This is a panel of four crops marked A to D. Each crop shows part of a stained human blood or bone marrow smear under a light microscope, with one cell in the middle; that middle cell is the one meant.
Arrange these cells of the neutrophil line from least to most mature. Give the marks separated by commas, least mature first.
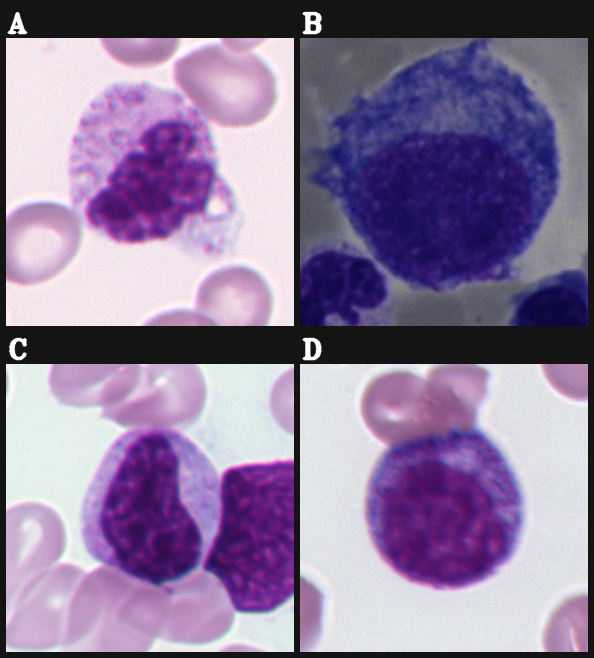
B, D, C, A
